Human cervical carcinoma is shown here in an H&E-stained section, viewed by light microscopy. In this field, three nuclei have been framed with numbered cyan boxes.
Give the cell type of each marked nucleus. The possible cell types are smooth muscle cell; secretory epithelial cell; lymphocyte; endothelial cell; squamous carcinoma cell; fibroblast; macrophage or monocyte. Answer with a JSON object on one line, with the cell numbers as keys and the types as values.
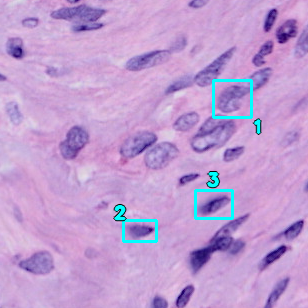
{"1": "endothelial cell", "2": "fibroblast", "3": "fibroblast"}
